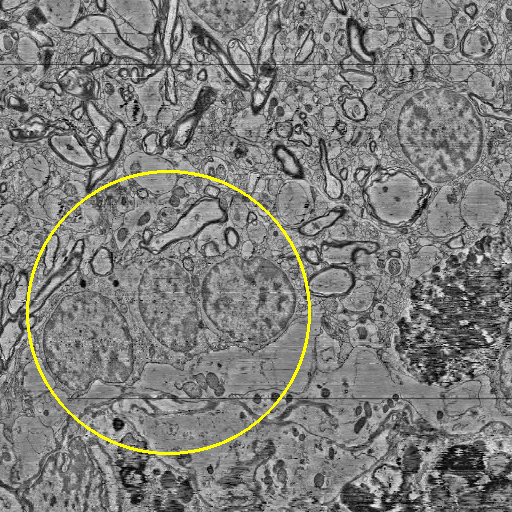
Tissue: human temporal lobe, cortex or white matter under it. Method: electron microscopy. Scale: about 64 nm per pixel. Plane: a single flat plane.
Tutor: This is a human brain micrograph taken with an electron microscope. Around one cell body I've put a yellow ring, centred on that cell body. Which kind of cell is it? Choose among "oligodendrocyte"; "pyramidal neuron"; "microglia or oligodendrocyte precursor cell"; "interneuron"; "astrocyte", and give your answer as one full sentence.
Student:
Going by your list, the cell centred in the yellow ring is an oligodendrocyte.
